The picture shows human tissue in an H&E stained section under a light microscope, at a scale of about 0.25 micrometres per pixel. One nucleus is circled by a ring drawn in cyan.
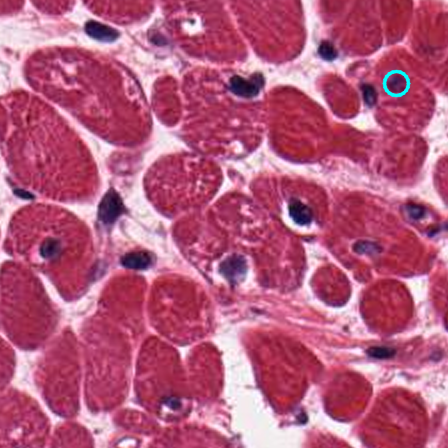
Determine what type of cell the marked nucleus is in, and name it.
cardiomyocyte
